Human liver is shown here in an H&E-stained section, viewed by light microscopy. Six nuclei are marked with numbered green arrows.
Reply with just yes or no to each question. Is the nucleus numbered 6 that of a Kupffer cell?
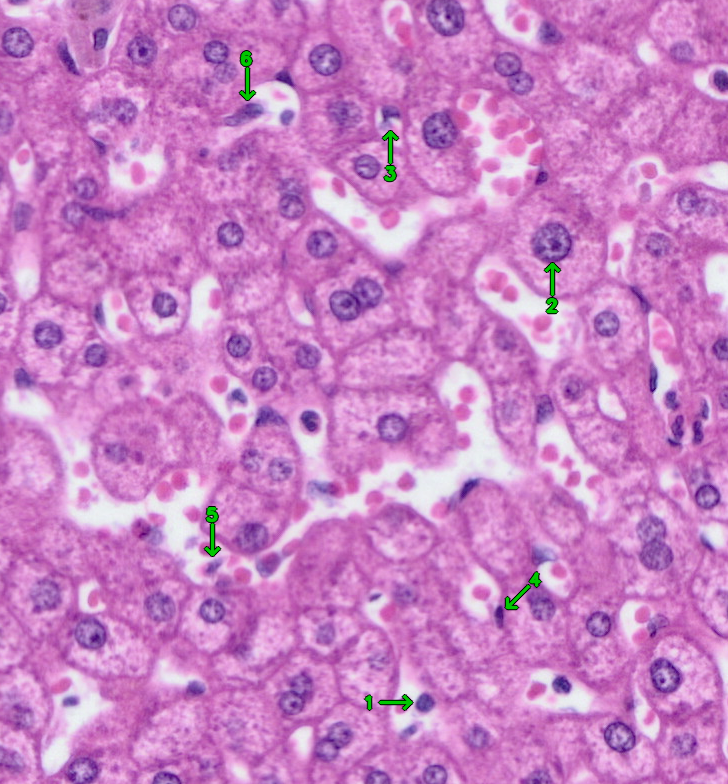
yes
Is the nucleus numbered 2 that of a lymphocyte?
no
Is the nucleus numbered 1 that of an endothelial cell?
no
